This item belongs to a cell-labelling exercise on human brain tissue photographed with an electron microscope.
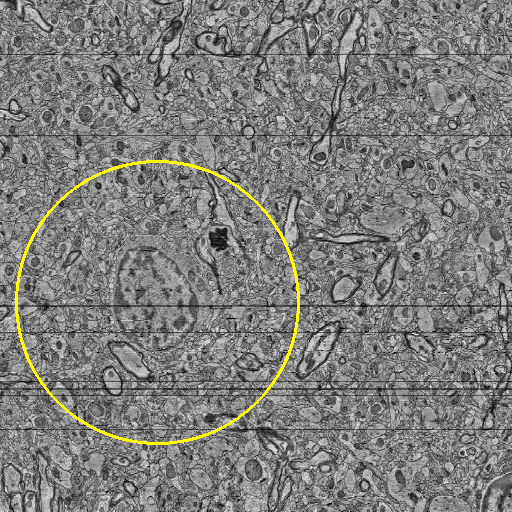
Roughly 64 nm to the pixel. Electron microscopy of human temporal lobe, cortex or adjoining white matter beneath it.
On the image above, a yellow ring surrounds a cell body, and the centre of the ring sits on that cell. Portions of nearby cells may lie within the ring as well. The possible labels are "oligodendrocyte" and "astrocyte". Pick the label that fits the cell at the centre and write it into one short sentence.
This cell should be labelled as an oligodendrocyte.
